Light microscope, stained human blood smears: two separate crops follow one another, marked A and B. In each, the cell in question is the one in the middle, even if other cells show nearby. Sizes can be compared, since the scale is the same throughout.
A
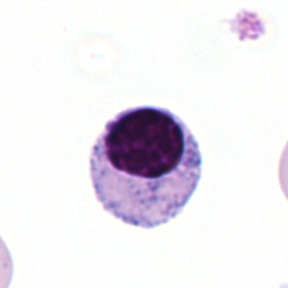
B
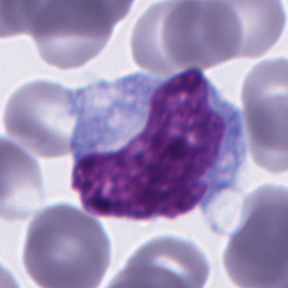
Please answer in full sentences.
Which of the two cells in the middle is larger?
Larger is the cell in crop B, at roughly 2 times the area of the other.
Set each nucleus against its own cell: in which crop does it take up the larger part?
In crop B the nucleus takes up the larger part of its cell.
